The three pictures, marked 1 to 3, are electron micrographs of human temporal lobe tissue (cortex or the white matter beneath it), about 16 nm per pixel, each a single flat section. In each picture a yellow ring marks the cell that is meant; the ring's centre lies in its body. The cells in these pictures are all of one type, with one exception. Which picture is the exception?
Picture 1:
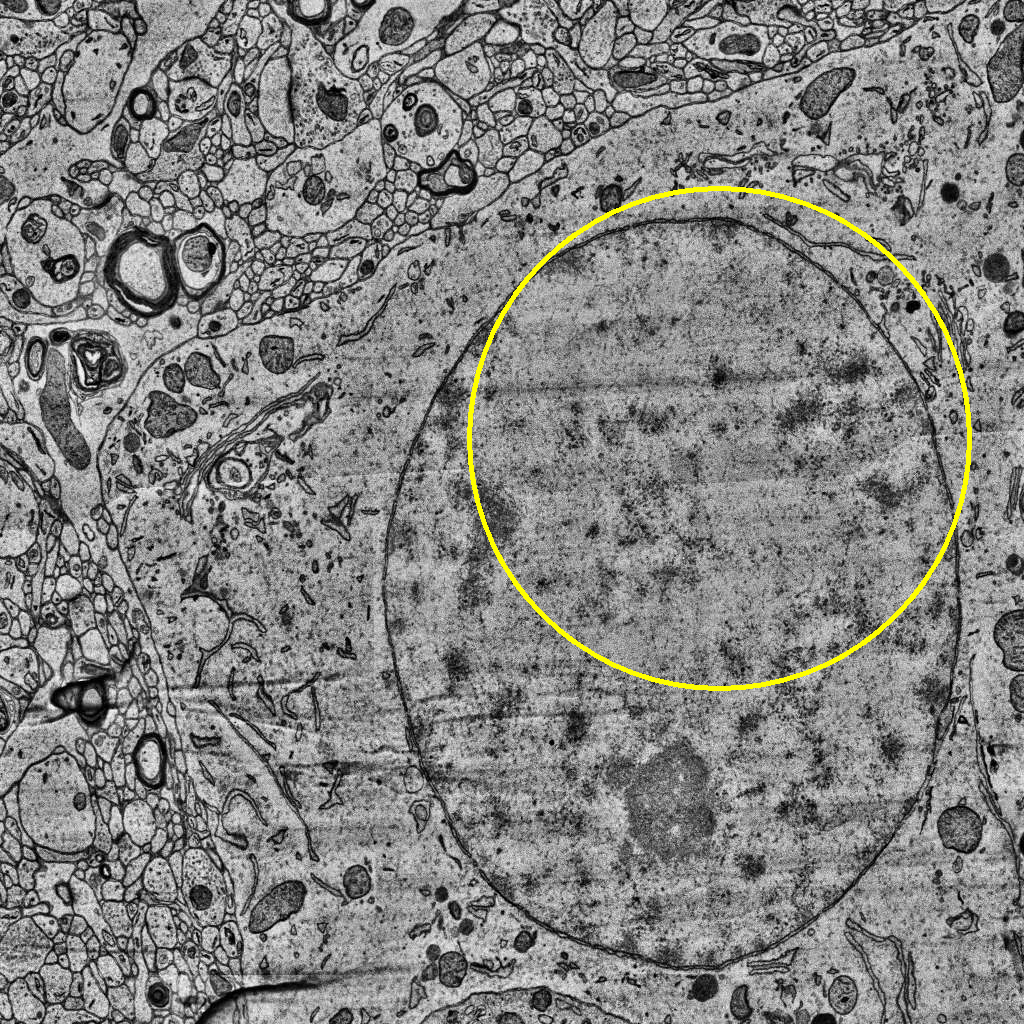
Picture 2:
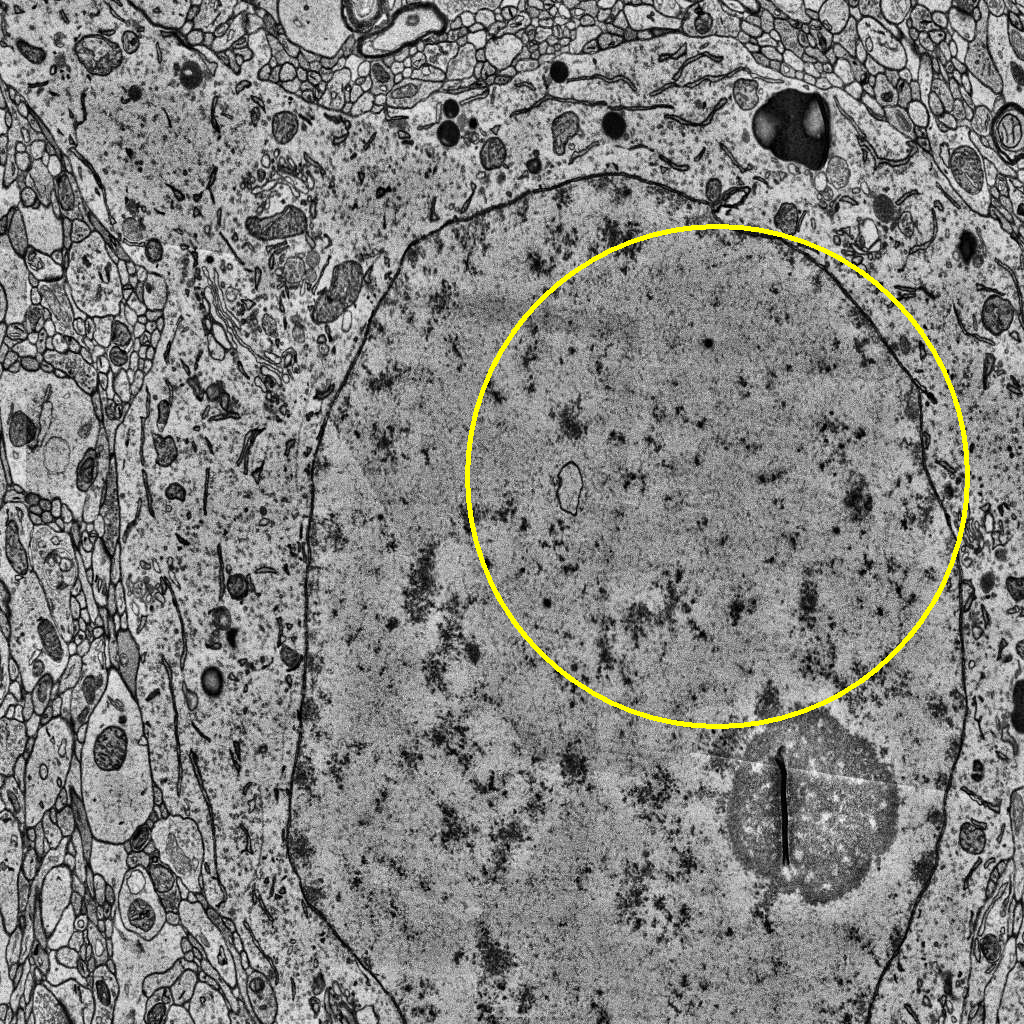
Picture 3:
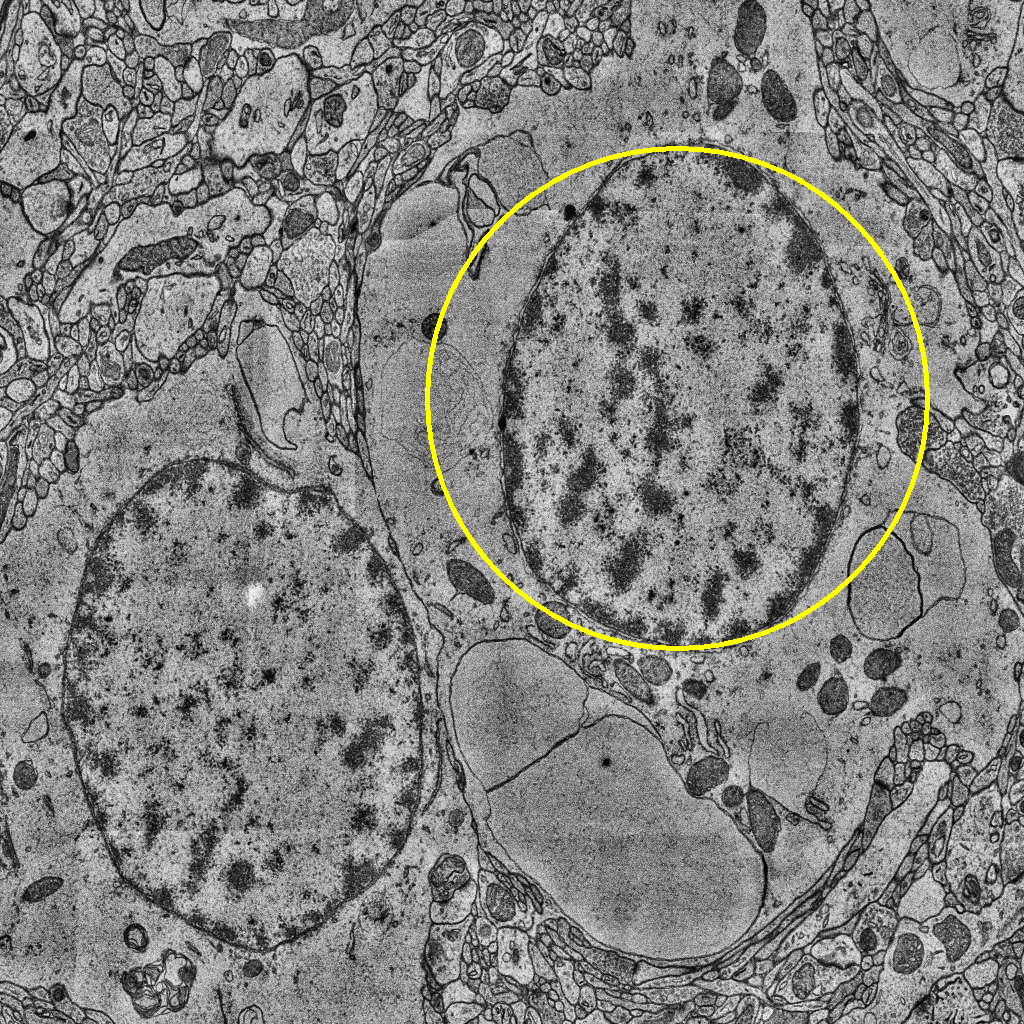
The others show pyramidal neurons, but picture 3 shows an astrocyte.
